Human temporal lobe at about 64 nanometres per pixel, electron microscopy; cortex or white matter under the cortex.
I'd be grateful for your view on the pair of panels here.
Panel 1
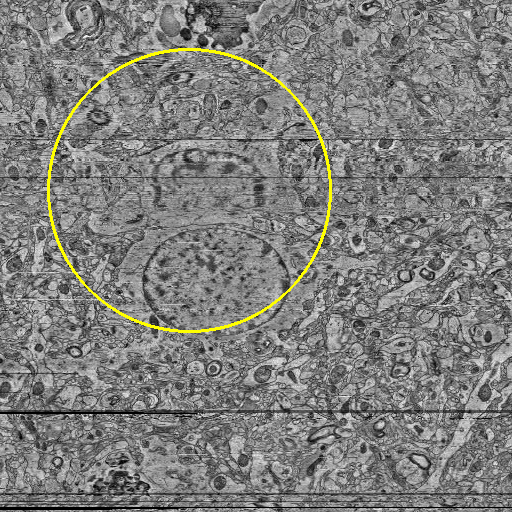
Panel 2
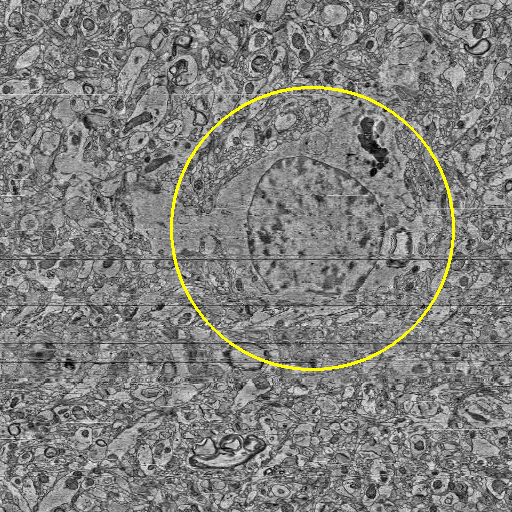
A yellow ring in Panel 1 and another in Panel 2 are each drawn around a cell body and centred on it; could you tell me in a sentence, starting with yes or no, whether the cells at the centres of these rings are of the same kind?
Yes, they are the same kind of cell.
